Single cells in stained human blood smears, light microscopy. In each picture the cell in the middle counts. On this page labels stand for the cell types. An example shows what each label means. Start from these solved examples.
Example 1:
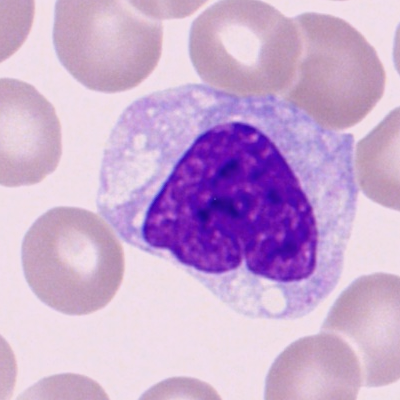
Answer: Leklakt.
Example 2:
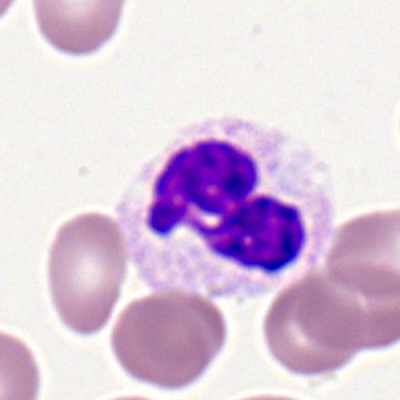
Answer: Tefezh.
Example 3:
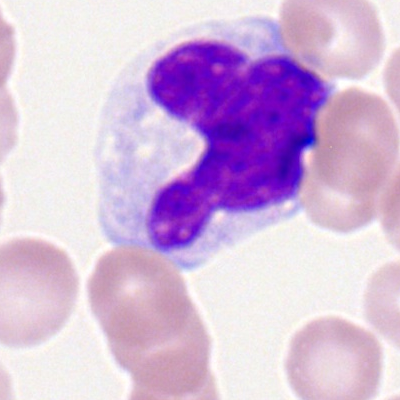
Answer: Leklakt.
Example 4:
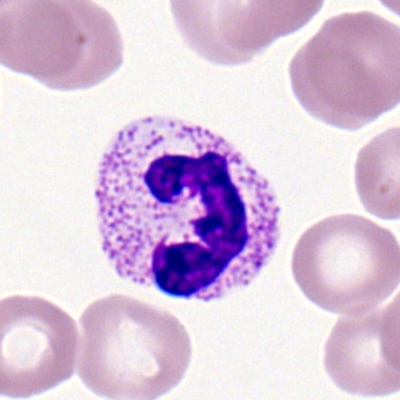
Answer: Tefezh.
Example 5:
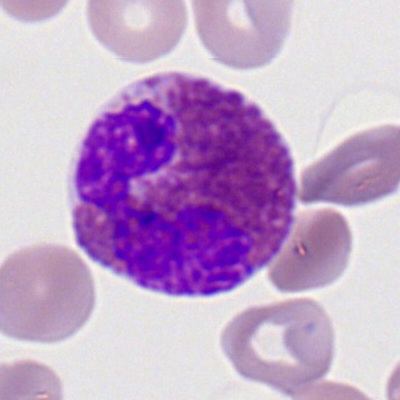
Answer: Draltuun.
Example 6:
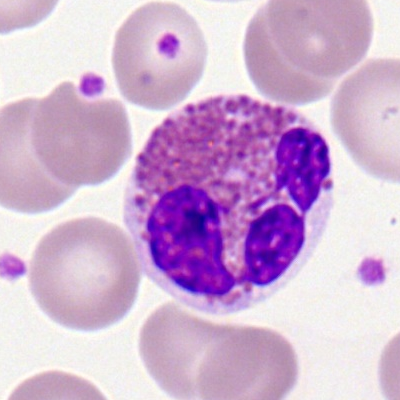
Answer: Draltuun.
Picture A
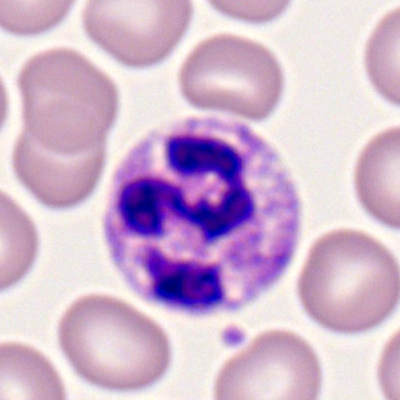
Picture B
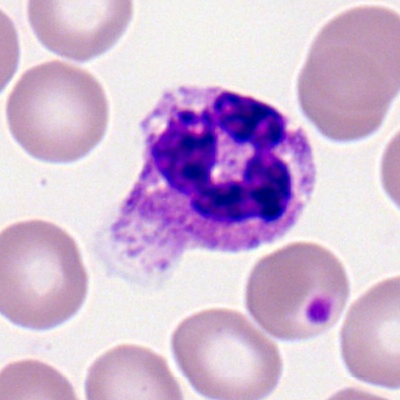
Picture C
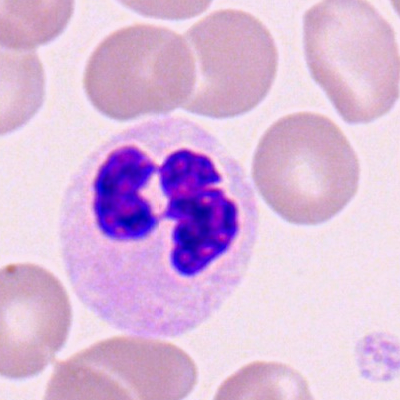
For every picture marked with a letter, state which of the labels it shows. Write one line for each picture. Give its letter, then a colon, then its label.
A: Tefezh.
B: Tefezh.
C: Tefezh.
